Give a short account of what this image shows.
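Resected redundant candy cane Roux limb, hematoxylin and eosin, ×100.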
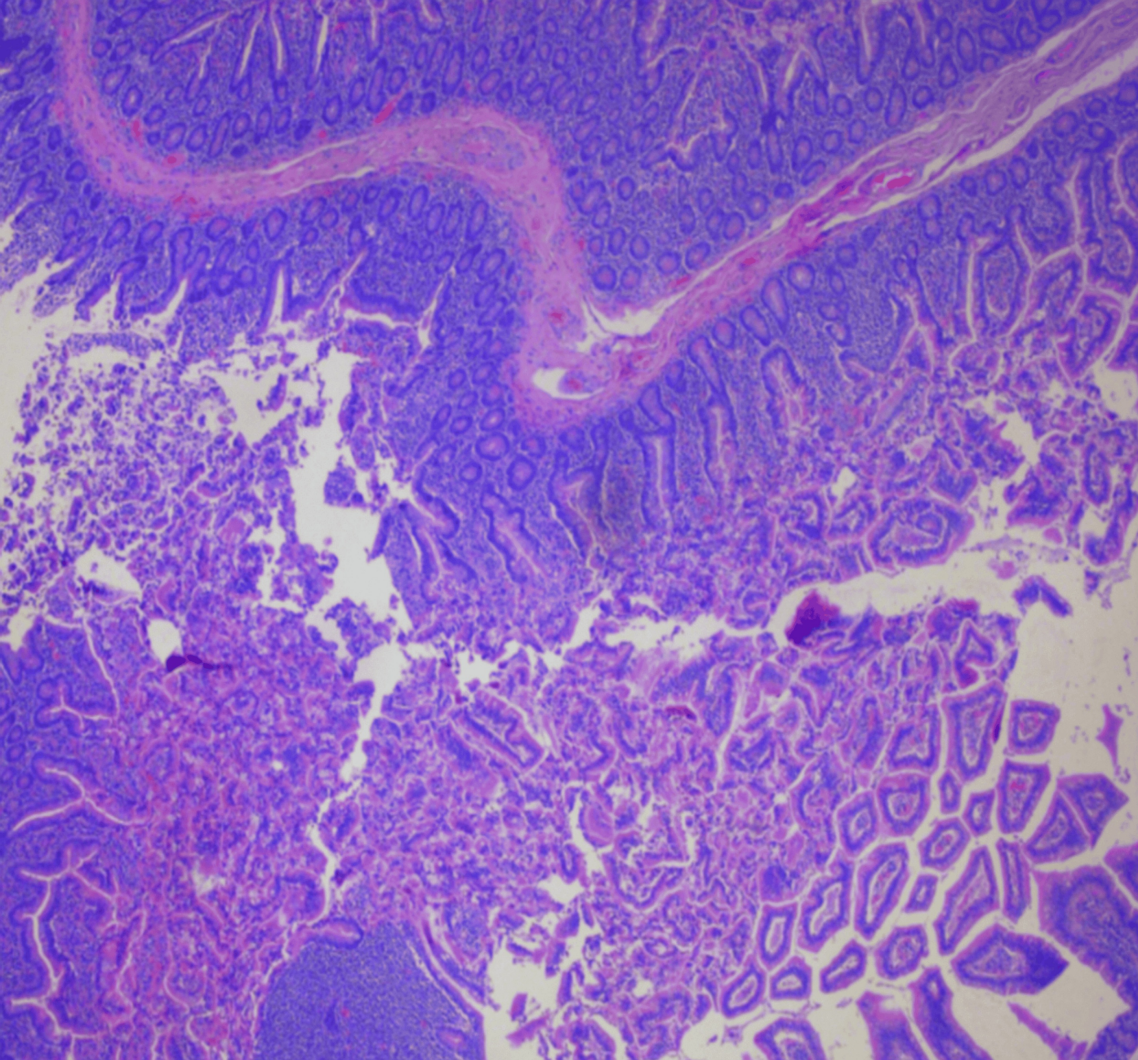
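This low-power section shows intestinal mucosa with villous architecture, glands and crypts. In the upper half, numerous small round crypts are cut in cross-section. Each crypt is a ring of epithelial cells with purple nuclei around a tiny lumen, packed in a cellular stroma. A wavy pink band of smooth muscle snakes across the top of the field between two layers of mucosa. Toward the lower right, villi cut across appear as separate polygonal islands, each lined by tall columnar epithelium around a pale core. Near the bottom centre lies a dense, rounded, dark purple aggregate of small cells, and the middle of the field is fragmented and loosely arranged.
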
